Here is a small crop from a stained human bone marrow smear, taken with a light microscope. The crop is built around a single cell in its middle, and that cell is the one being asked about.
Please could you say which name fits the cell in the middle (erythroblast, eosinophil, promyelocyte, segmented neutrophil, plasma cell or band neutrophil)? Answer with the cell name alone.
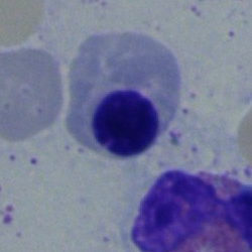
erythroblast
